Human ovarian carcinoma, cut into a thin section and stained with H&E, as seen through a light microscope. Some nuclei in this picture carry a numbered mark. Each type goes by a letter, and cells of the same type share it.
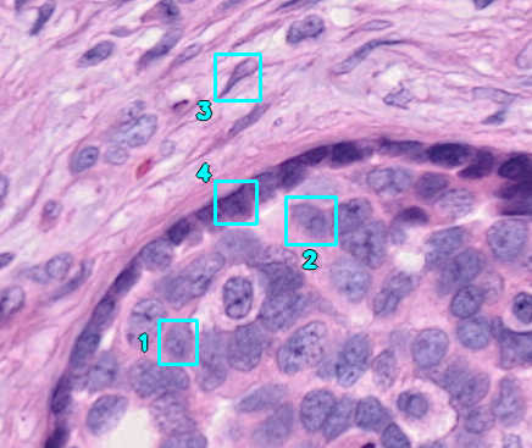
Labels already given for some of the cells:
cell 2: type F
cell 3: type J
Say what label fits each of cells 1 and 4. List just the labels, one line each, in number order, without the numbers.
type F
type F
